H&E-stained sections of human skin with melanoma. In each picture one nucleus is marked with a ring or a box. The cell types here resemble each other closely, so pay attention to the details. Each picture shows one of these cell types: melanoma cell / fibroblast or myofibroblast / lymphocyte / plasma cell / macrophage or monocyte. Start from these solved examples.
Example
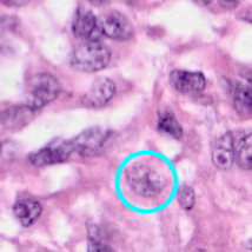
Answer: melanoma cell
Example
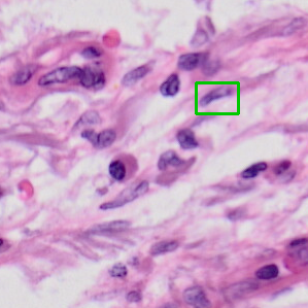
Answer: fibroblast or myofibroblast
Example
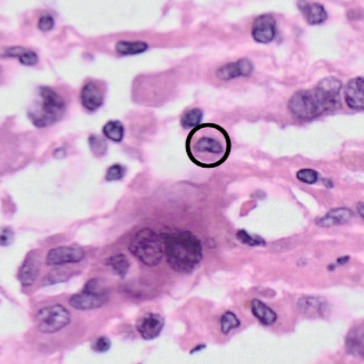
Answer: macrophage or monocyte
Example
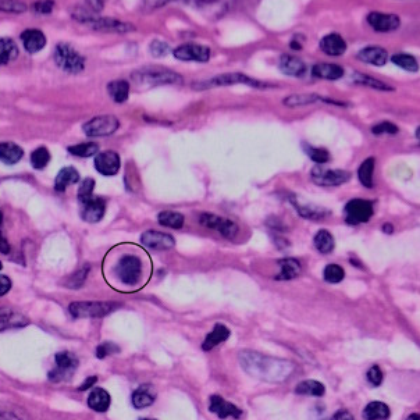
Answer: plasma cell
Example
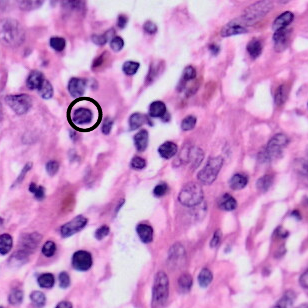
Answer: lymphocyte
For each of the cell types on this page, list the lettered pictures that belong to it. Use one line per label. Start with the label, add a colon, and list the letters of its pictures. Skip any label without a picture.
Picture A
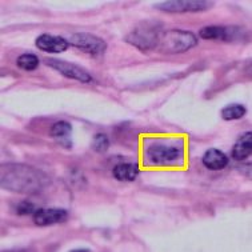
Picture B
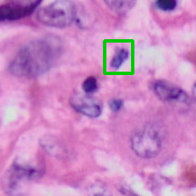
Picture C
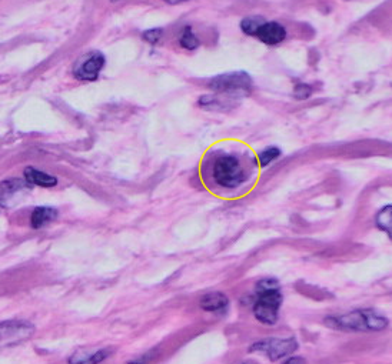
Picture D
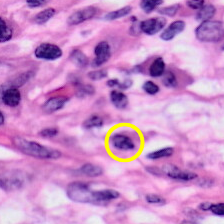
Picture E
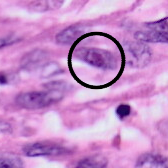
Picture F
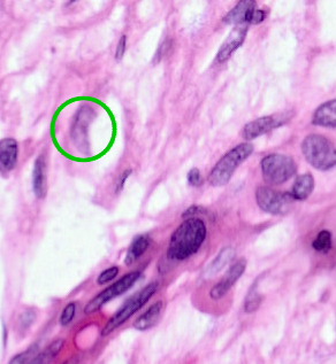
melanoma cell: E
fibroblast or myofibroblast: F
lymphocyte: B
plasma cell: A, C, D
